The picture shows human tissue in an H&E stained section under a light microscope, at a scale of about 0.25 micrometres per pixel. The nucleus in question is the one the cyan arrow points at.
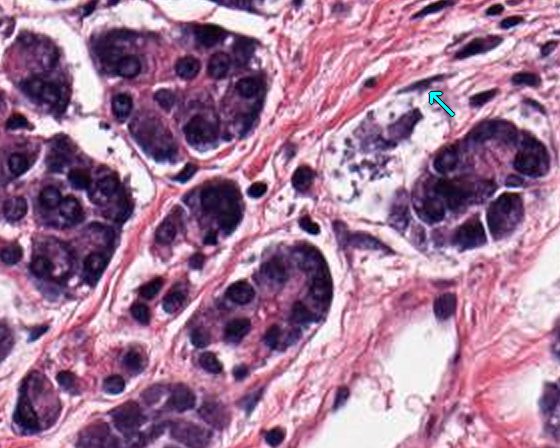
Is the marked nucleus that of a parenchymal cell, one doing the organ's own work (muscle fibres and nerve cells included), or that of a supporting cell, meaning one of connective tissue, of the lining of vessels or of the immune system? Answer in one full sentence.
The cell bearing the marked nucleus is a supporting cell.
